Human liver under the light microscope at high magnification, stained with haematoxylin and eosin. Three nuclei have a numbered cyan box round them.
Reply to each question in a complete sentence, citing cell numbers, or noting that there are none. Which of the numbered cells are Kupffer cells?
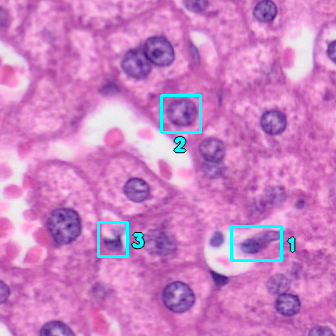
Where the numbered cells are concerned, only number 1 is a Kupffer cell.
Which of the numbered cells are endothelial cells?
Among the numbered nuclei, only the one labelled 3 belongs to an endothelial cell.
